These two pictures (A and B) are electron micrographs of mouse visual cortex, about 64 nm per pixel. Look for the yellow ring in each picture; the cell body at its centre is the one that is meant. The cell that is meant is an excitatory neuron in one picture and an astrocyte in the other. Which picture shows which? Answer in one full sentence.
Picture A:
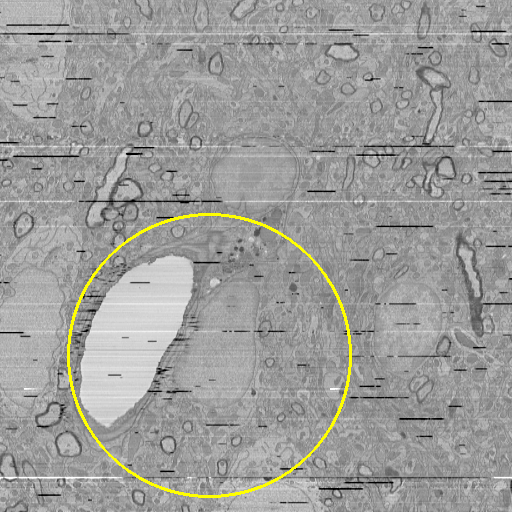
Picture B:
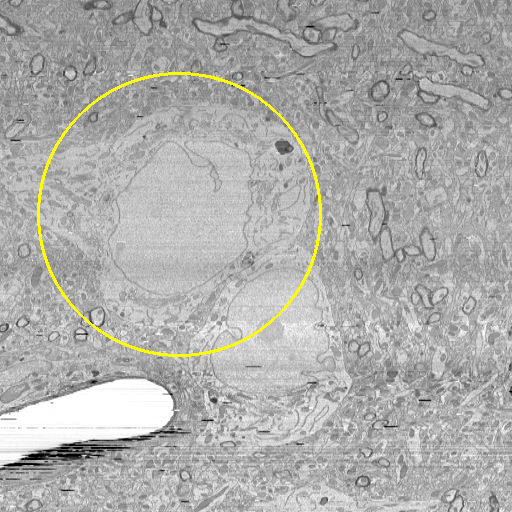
The cell in picture A is an astrocyte, and the one in picture B is an excitatory neuron.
